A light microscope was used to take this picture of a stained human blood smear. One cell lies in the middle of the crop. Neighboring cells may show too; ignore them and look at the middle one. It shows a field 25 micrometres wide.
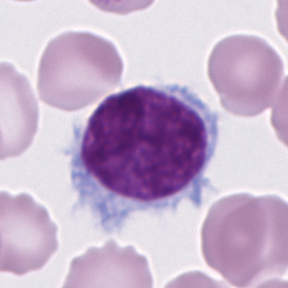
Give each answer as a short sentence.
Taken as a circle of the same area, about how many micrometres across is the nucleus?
It measures about 10 micrometres across.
